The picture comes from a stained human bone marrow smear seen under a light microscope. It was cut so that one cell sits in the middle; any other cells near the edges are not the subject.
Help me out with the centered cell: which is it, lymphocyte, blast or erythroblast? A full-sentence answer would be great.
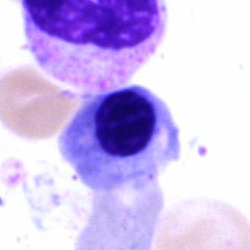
The cell under consideration, at the middle of the crop, is an erythroblast.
